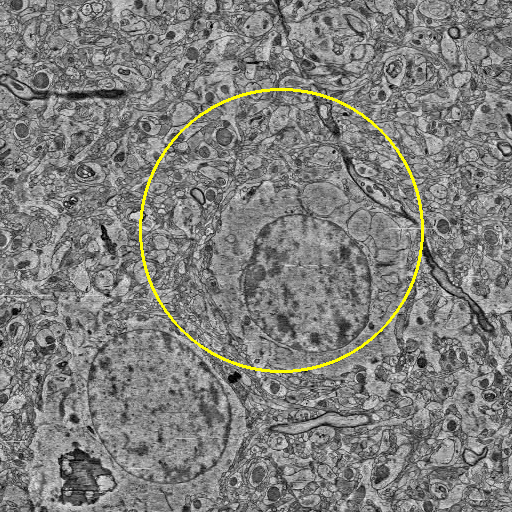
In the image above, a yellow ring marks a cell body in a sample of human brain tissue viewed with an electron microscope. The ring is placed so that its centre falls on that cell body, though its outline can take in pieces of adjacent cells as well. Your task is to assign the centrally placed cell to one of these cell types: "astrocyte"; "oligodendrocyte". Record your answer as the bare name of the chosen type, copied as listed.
astrocyte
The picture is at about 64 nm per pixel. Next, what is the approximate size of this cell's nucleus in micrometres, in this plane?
In this plane, the nucleus is roughly 10 by 8 micrometres.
